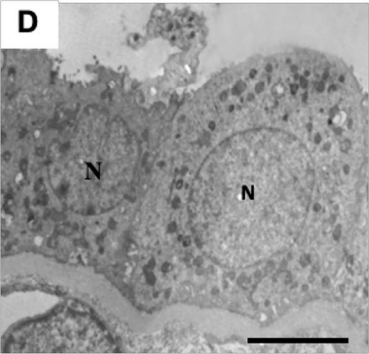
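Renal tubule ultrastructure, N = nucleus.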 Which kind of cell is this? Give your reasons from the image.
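Distal tubular epithelial cells. Epithelial cells with large round nuclei resting on a basement membrane. No brush border at the luminal surface. Cytoplasm with numerous dark granular organelles.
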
